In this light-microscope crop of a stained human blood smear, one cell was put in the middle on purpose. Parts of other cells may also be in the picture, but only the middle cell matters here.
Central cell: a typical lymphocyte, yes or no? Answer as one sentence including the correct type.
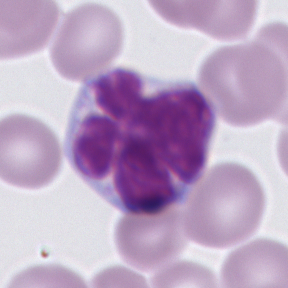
No, the cell in the middle is recognised as a large granular lymphocyte rather than a typical lymphocyte.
